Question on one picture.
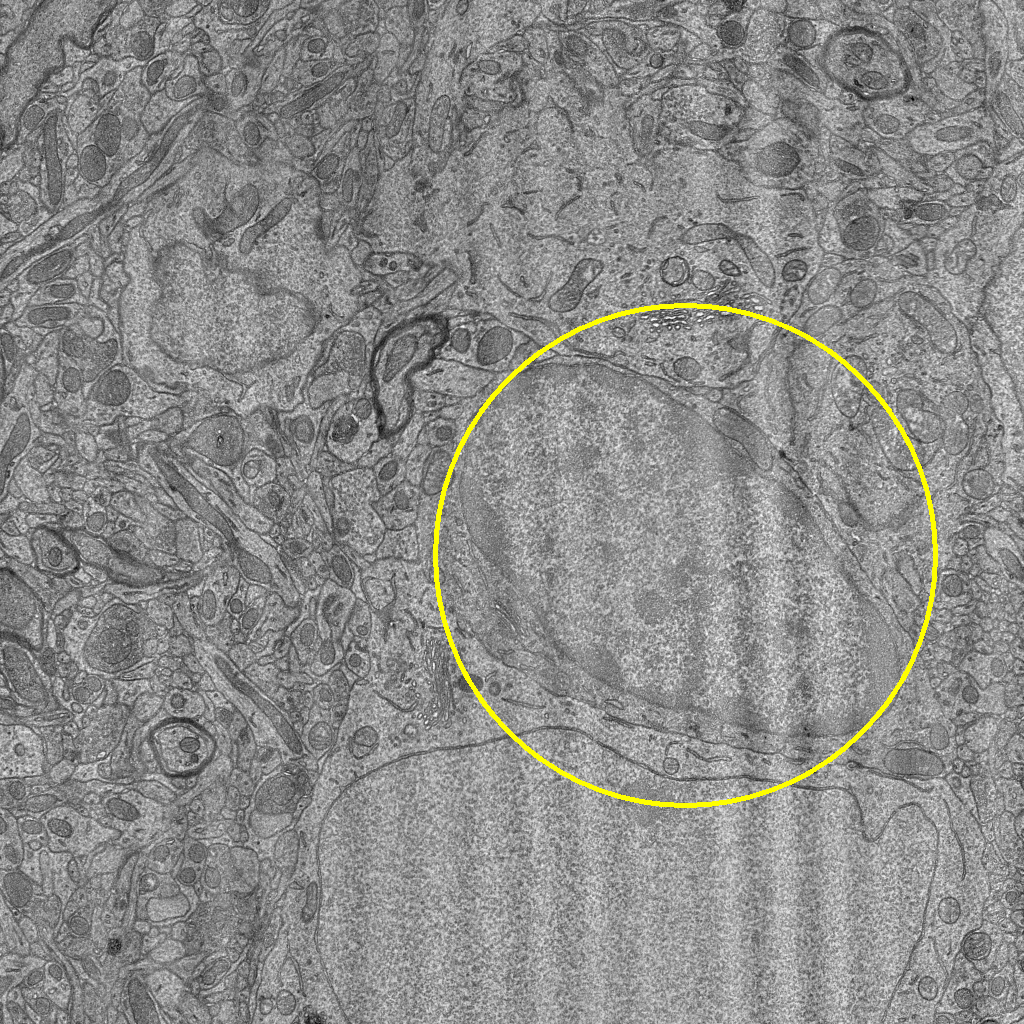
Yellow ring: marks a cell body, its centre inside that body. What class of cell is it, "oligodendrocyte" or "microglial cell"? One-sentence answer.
This is an oligodendrocyte, the cell at the ring's centre.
